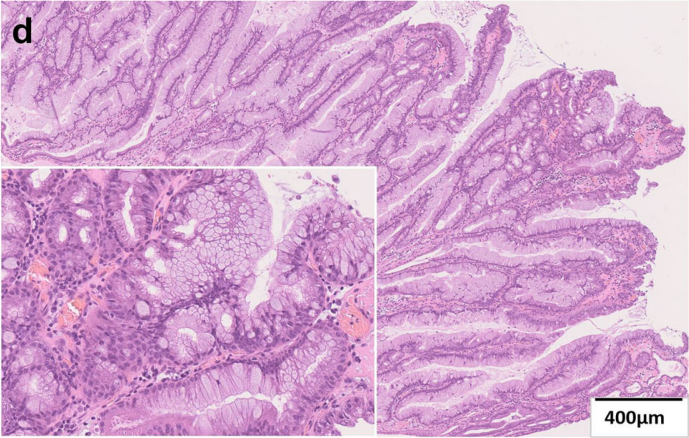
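The tubules are lined by tall columnar cells whose apical cytoplasm is filled with pale, clear mucin, while their nuclei sit towards the base. The tubules lie close together with only thin strands of pink stroma and small vessels between them.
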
